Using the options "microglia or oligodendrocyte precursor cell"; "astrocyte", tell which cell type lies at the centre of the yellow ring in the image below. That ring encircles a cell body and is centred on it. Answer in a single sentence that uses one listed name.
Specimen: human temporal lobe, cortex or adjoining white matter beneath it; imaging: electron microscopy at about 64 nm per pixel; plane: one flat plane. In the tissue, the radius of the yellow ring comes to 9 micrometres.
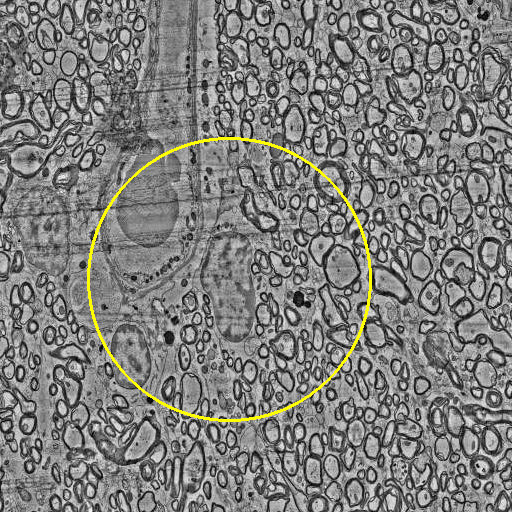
At the centre of the yellow ring lies the body of a microglial cell or oligodendrocyte precursor cell.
